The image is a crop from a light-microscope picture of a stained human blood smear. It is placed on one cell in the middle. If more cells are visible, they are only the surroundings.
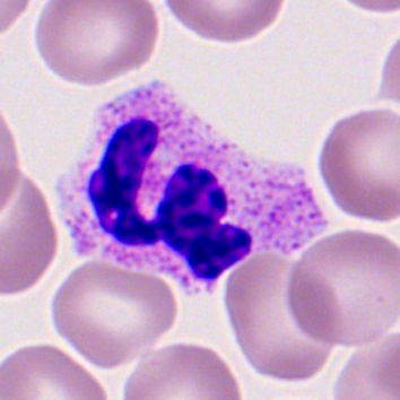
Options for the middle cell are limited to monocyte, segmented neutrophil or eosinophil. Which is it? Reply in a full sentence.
The cell at the middle of the crop is recognized as a segmented neutrophil.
